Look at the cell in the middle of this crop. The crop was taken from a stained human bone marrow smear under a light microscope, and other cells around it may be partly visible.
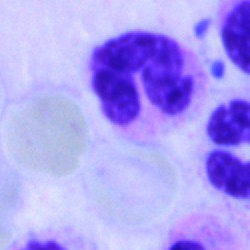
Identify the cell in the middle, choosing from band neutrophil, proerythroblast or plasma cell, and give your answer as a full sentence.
The identification for the central cell is a band neutrophil.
